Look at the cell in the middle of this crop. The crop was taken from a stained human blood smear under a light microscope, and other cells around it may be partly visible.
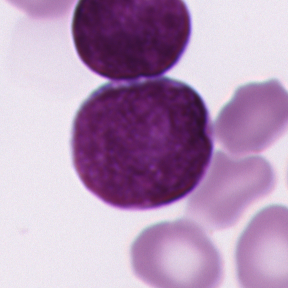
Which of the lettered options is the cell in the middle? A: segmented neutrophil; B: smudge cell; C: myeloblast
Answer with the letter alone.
C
